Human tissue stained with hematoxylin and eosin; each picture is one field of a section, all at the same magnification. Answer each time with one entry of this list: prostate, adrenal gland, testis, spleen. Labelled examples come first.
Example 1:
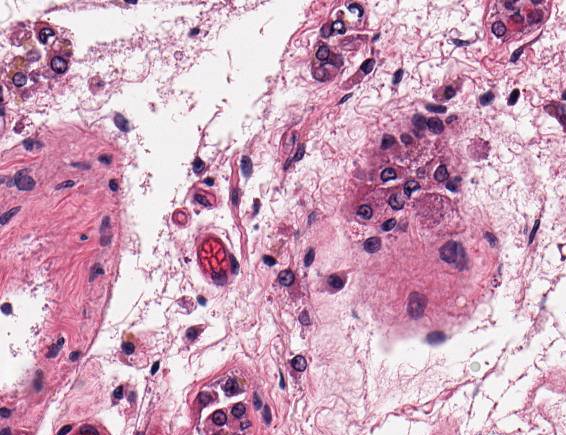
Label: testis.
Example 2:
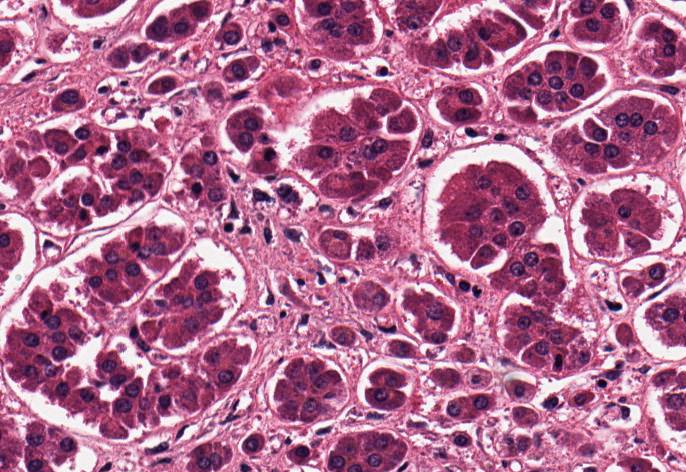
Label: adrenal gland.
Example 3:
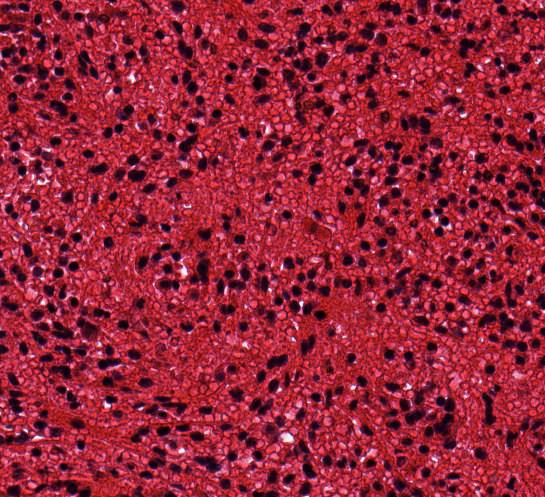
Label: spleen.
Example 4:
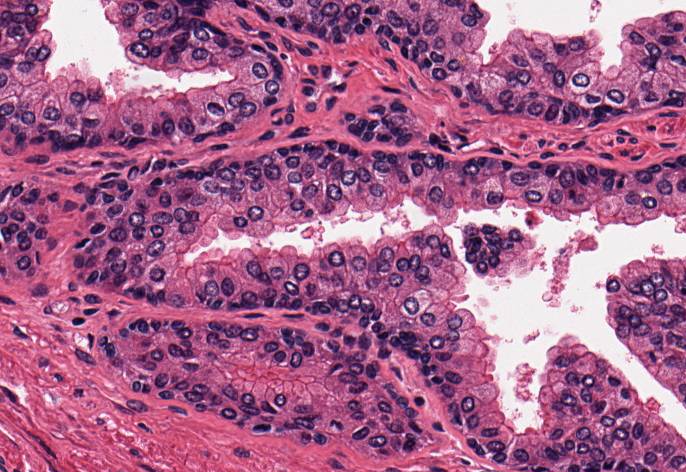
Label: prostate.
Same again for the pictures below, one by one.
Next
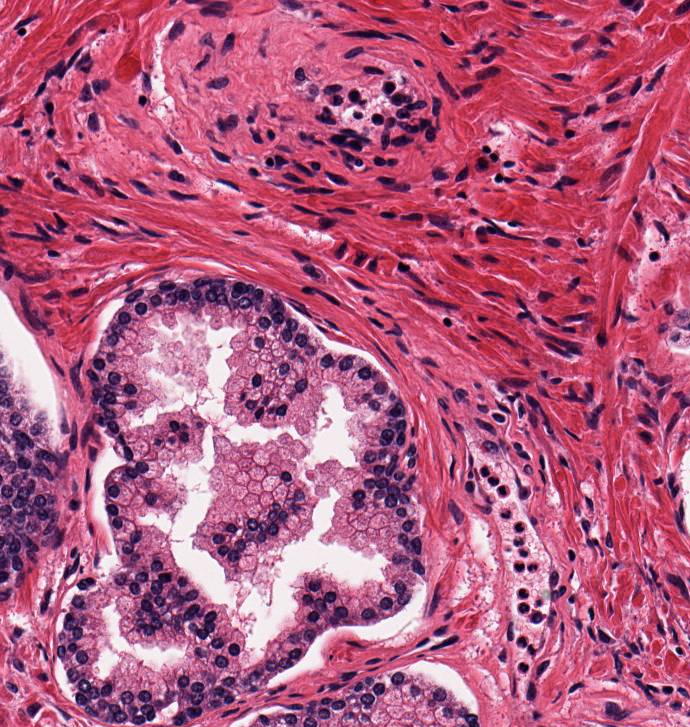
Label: prostate.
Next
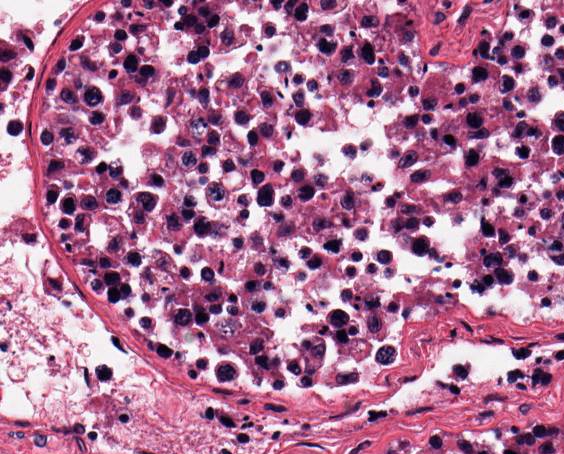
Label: testis.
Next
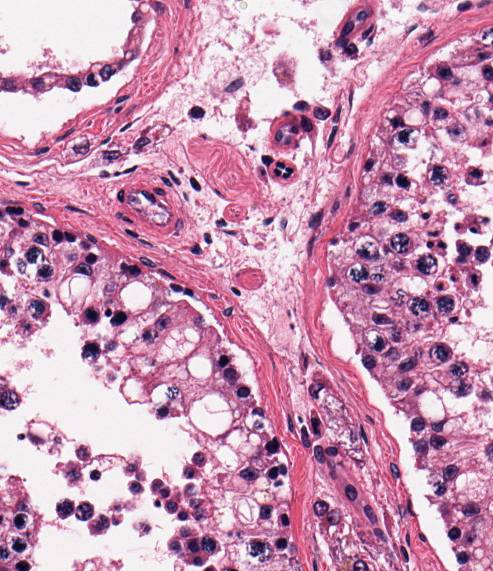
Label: testis.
